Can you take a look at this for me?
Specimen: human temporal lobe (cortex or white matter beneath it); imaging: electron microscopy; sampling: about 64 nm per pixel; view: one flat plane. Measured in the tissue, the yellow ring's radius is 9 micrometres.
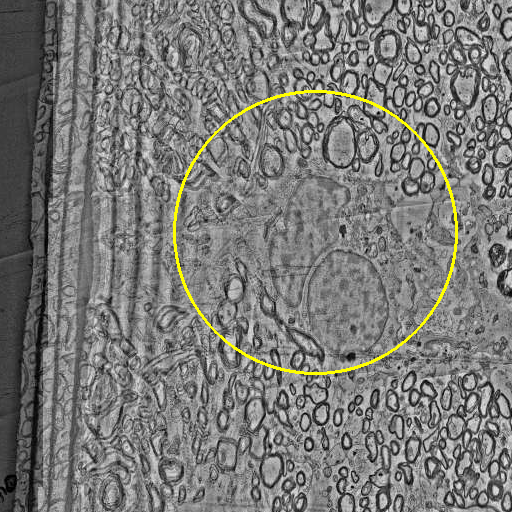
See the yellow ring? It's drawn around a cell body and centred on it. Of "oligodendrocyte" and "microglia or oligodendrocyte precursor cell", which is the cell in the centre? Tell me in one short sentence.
The one in the centre is a microglial cell or oligodendrocyte precursor cell.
